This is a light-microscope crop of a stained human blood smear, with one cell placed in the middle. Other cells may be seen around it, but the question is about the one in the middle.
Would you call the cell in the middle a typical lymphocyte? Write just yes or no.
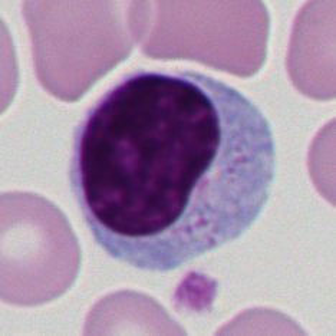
no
